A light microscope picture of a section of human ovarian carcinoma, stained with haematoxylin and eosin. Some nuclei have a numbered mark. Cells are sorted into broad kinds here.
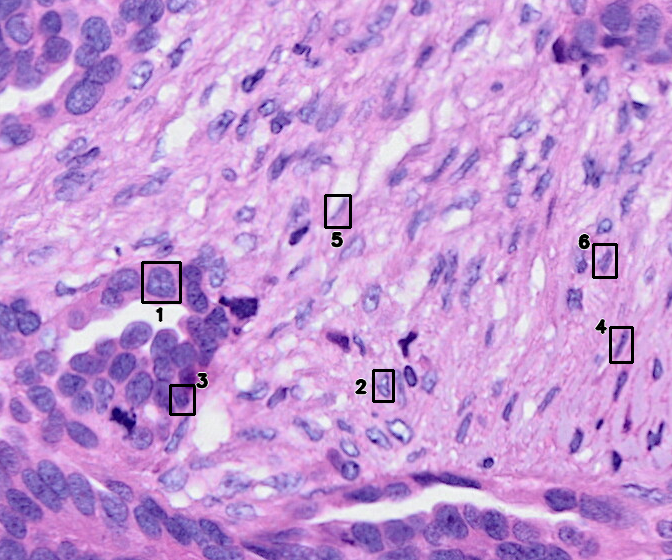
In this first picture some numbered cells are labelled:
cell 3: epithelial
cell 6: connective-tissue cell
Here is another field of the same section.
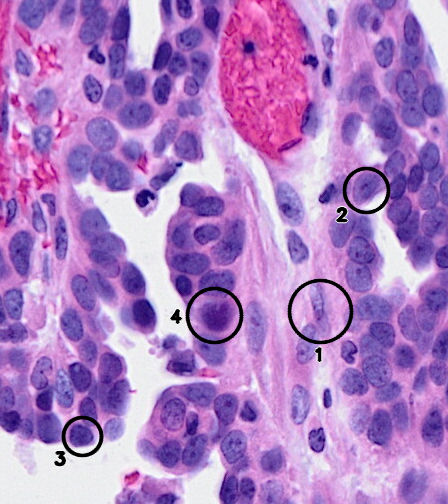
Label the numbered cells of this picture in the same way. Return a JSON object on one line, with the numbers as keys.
{"1": "connective-tissue cell", "2": "epithelial", "3": "epithelial", "4": "epithelial"}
